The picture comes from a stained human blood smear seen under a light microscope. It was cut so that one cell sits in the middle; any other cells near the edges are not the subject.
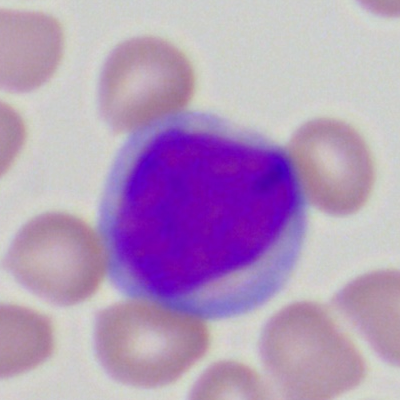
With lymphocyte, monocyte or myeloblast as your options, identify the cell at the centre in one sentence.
Seen at the centre of the crop is a myeloblast.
